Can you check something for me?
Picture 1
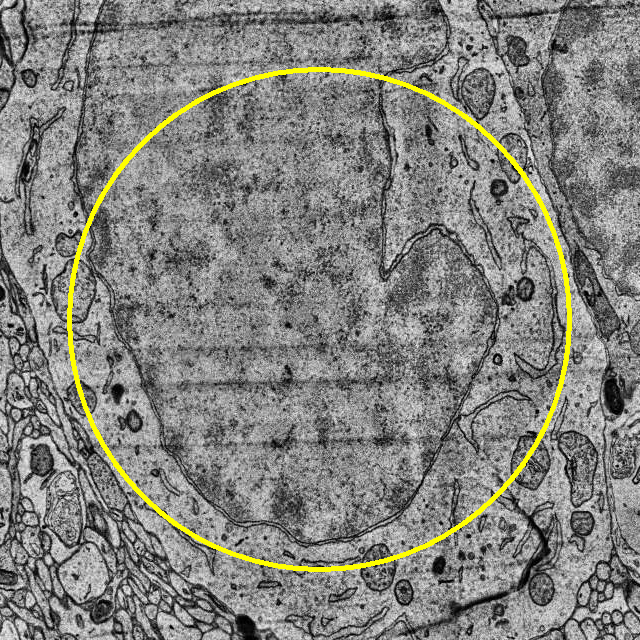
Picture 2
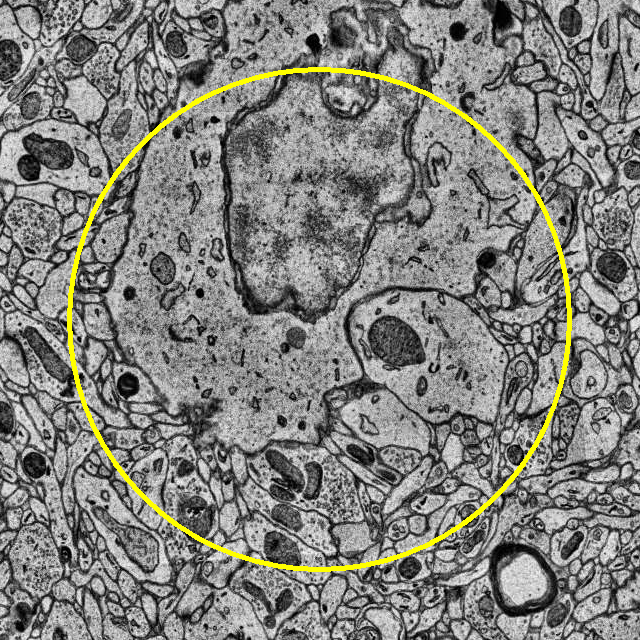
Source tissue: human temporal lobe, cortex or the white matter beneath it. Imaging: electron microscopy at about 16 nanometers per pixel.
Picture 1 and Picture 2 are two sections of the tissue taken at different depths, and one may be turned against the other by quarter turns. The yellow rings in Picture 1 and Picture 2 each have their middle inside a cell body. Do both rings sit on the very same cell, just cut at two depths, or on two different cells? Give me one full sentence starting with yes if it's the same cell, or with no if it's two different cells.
No, the two rings are drawn around two distinct cells.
